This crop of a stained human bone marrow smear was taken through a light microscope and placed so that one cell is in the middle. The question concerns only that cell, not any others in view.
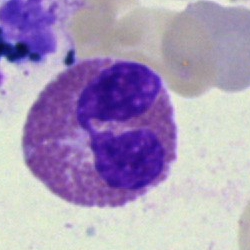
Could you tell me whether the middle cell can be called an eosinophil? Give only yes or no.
yes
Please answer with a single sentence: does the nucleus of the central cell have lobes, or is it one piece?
Nuclear material here is separated into two or more segments.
